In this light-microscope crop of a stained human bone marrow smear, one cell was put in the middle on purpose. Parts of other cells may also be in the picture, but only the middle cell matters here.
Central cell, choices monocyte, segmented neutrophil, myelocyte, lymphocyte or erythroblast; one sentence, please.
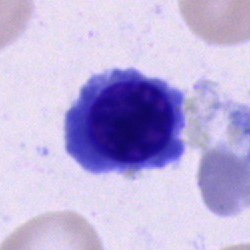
The cell marked by its central position in the crop is an erythroblast.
